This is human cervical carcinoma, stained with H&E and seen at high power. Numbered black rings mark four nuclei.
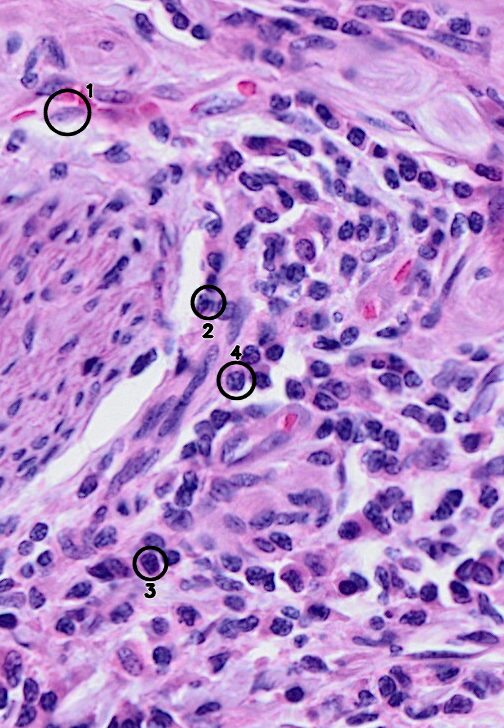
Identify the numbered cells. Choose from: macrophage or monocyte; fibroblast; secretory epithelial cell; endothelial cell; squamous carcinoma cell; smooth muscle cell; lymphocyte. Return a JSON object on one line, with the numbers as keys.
{"1": "endothelial cell", "2": "lymphocyte", "3": "lymphocyte", "4": "lymphocyte"}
